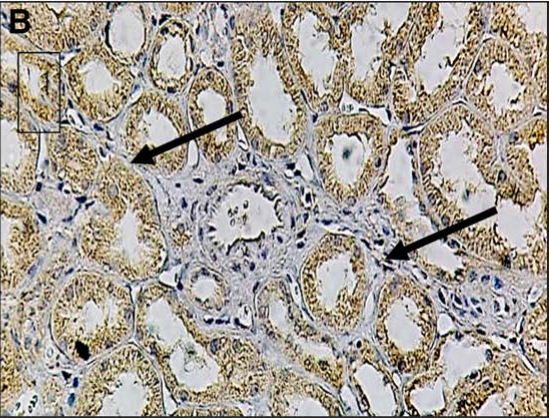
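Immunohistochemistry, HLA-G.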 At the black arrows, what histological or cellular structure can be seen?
renal tubules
